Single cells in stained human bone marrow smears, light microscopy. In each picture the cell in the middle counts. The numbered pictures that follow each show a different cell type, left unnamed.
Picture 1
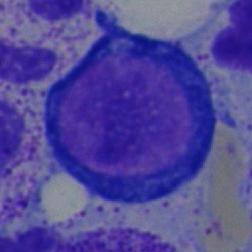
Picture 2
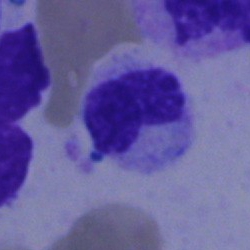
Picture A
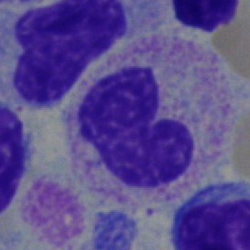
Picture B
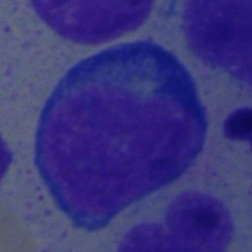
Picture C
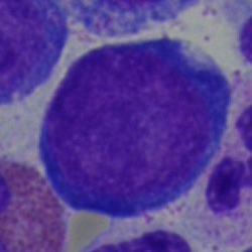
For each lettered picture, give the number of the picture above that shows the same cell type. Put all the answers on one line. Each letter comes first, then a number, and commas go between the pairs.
A 2, B 1, C 1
